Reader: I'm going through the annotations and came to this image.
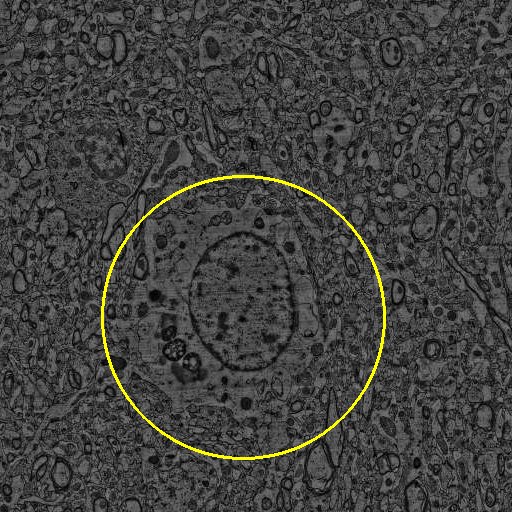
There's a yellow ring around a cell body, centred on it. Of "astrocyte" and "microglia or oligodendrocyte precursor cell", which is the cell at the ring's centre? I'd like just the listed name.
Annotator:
astrocyte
